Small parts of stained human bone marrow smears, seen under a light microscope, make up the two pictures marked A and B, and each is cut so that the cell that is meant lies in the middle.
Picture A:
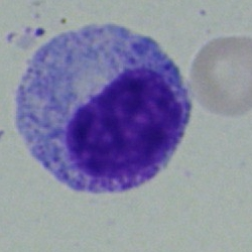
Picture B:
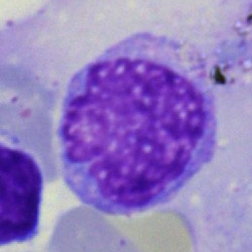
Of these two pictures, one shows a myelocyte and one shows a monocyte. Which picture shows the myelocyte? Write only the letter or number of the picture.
A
